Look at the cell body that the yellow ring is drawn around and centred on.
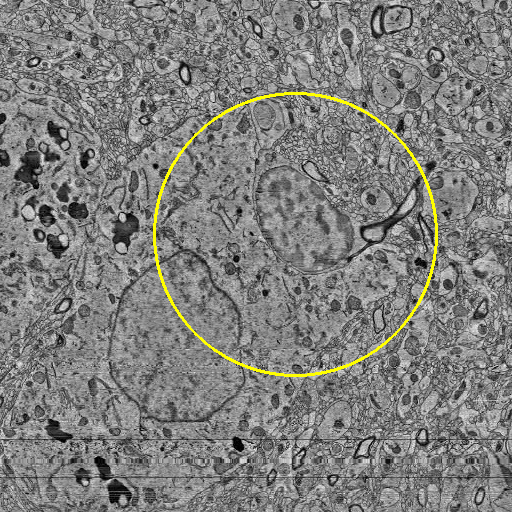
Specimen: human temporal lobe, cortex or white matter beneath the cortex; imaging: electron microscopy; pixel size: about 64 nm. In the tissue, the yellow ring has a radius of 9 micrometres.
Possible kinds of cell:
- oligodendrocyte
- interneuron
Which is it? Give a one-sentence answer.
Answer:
The centred cell body is that of an oligodendrocyte.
